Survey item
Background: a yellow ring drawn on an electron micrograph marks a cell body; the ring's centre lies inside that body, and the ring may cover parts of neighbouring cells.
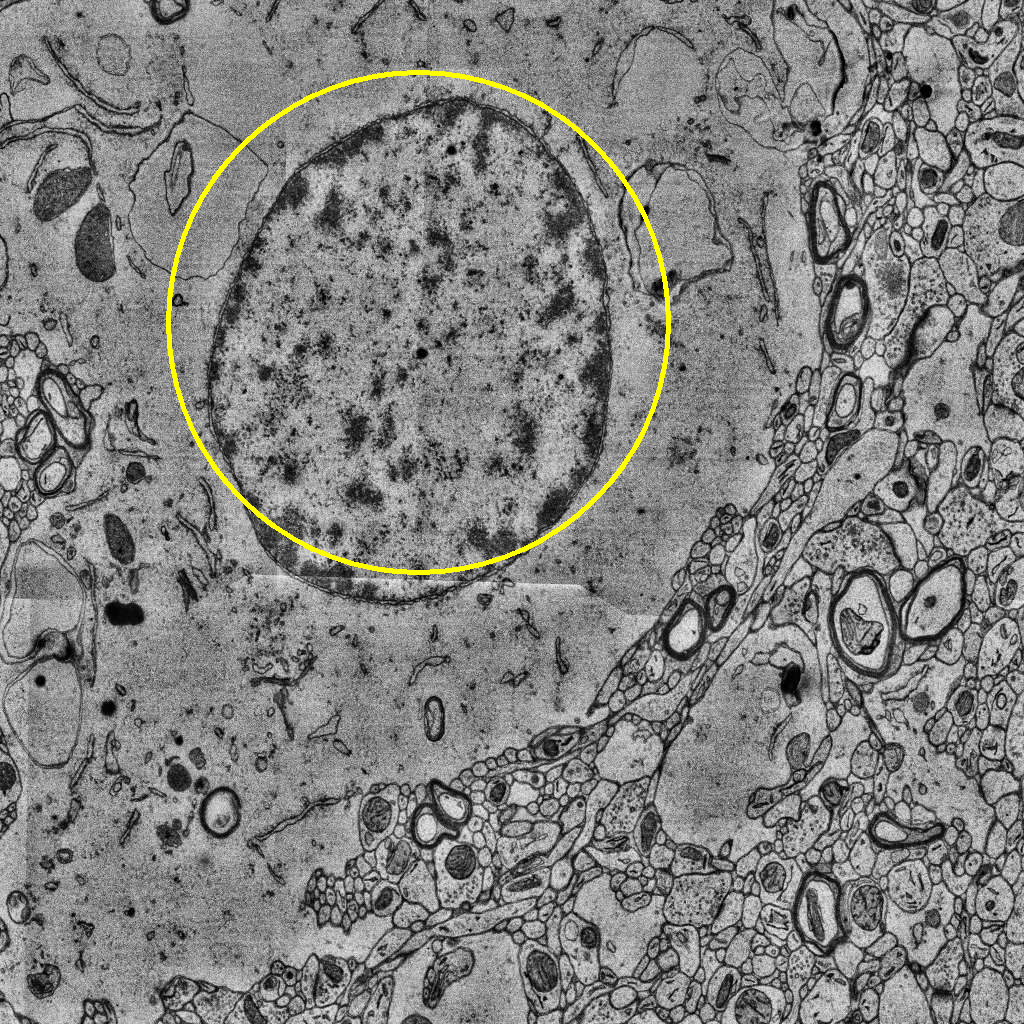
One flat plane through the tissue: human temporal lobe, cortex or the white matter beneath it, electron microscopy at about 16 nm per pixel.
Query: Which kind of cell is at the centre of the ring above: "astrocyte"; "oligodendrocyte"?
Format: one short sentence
The cell in the middle of the ring is an astrocyte.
